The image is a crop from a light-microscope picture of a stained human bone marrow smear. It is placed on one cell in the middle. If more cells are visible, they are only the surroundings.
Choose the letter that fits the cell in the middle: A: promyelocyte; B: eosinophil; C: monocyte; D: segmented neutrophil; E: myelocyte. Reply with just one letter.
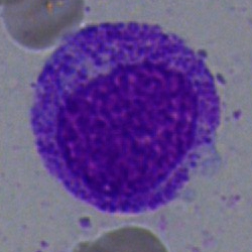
E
